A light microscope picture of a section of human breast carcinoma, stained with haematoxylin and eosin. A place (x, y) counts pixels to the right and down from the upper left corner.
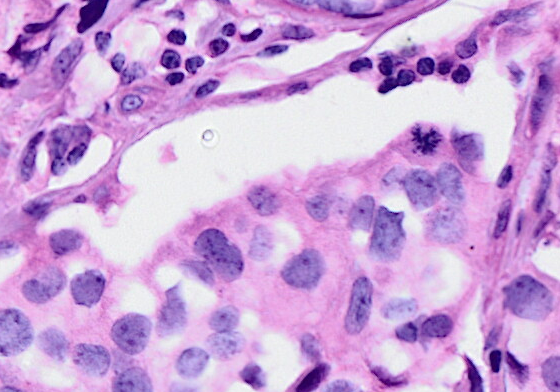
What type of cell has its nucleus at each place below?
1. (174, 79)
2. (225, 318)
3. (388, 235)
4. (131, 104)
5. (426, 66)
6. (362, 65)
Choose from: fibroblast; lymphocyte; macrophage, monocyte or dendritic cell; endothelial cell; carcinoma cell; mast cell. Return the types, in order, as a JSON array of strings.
["lymphocyte", "carcinoma cell", "carcinoma cell", "endothelial cell", "lymphocyte", "lymphocyte"]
